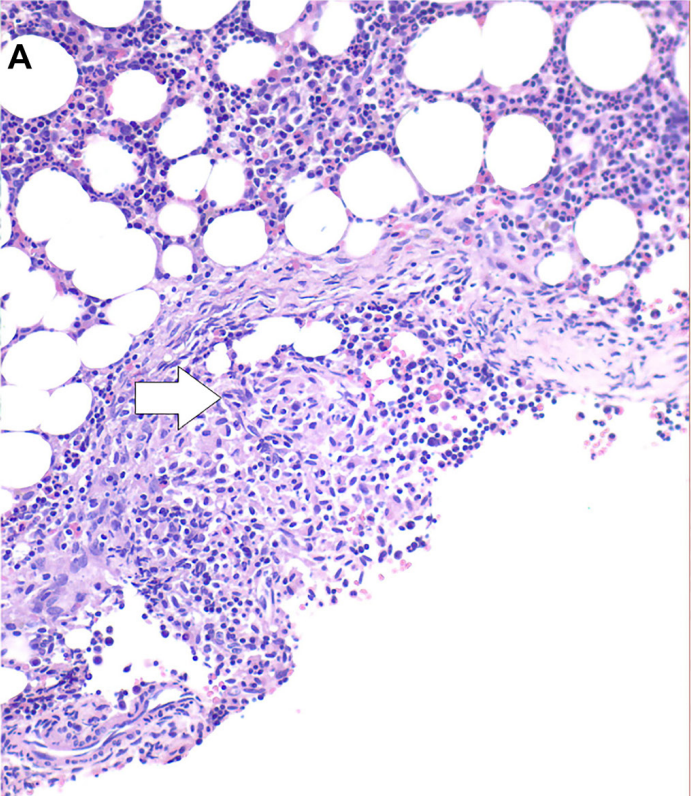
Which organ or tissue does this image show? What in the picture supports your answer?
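Many round empty fat spaces. Dense sheets of small round cells with dark nuclei between the fat spaces. Scattered red blood cells. The answer: bone marrow.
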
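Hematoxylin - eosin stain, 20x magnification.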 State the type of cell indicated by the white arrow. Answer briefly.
Mast cell aggregates.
